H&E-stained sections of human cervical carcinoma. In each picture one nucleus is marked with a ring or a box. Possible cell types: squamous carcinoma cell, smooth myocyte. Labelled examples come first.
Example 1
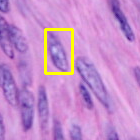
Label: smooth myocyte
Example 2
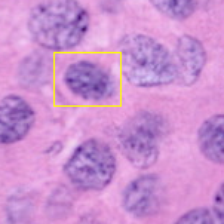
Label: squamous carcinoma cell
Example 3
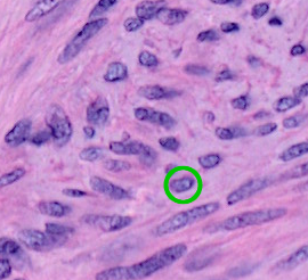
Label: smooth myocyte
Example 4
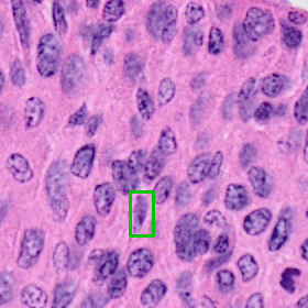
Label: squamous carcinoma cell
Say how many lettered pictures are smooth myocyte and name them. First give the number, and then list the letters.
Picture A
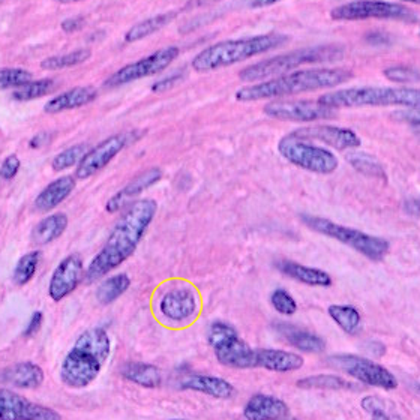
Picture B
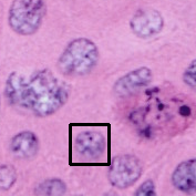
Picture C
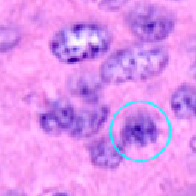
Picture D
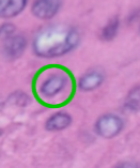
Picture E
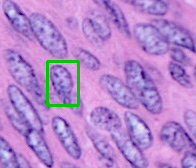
Count: 1 (A)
